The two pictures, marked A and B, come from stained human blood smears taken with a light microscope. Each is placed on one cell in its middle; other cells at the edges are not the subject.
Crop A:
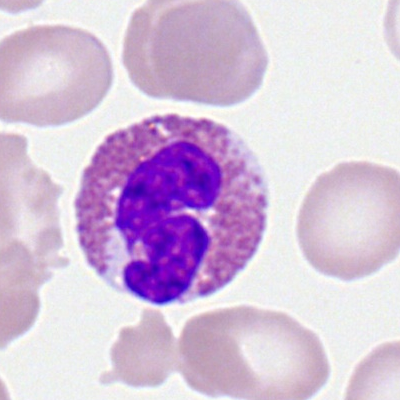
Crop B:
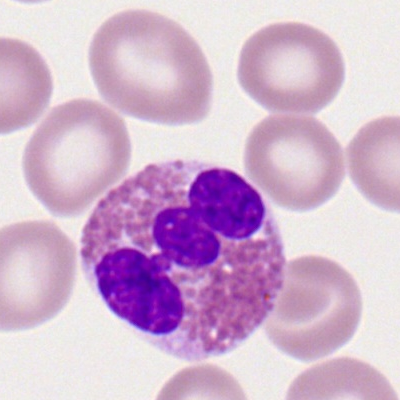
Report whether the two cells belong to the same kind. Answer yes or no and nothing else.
yes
